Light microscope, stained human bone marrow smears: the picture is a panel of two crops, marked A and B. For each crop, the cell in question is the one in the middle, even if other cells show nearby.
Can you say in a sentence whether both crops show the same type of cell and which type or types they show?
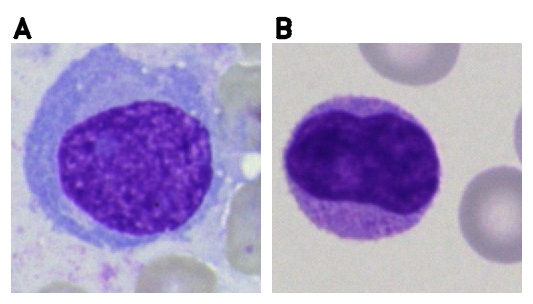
Yes, in the middle of both crops, monocytes are shown.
